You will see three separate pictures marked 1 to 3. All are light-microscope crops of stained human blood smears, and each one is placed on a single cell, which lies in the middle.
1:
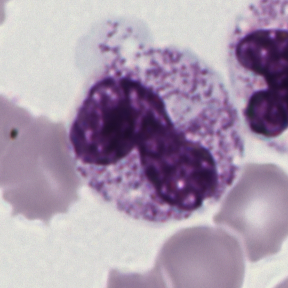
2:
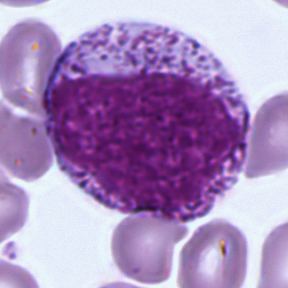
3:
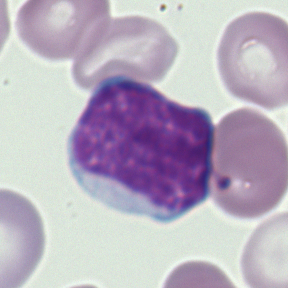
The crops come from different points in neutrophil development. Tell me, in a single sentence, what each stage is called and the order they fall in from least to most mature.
It is in the order crop 3 (a blast), crop 2 (a myelocyte) and crop 1 (a band neutrophil) that maturity increases.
